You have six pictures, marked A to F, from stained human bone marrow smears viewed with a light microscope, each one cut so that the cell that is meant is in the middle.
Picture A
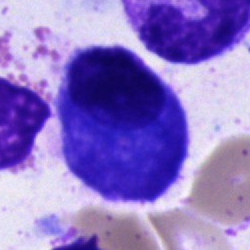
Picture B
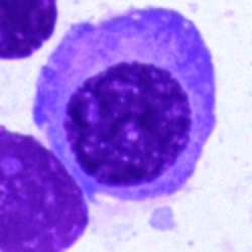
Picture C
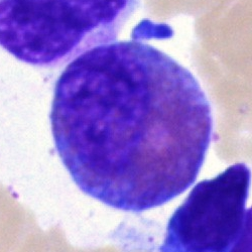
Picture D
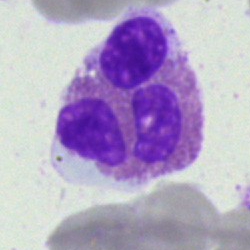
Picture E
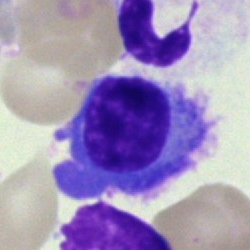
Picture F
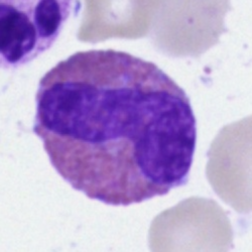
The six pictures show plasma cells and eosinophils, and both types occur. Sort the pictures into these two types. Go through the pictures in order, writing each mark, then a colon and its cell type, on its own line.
A: plasma cell
B: plasma cell
C: eosinophil
D: eosinophil
E: plasma cell
F: eosinophil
